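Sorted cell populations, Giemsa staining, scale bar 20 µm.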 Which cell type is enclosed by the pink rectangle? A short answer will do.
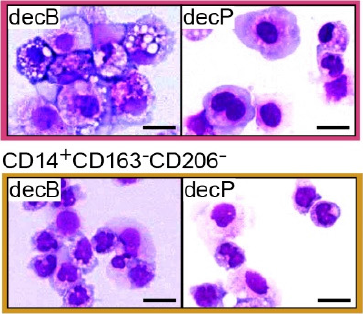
Macrophage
